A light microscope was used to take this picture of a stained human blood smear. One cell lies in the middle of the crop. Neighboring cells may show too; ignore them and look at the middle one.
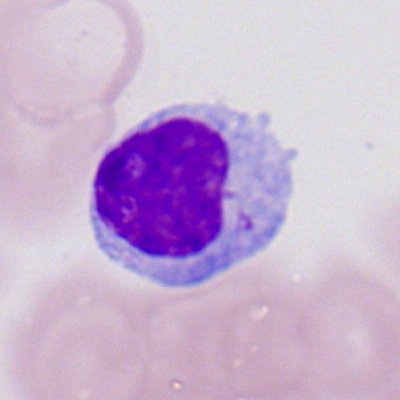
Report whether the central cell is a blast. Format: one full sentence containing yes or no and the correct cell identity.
No, the middle cell is not a blast, it being a lymphocyte.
